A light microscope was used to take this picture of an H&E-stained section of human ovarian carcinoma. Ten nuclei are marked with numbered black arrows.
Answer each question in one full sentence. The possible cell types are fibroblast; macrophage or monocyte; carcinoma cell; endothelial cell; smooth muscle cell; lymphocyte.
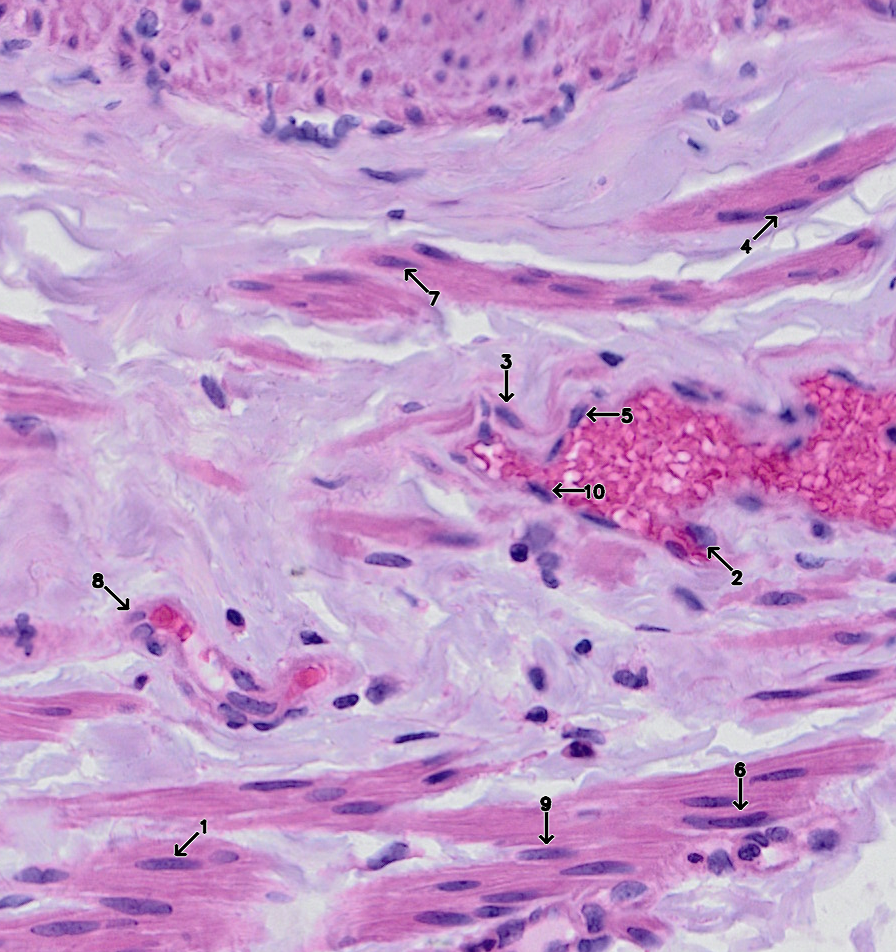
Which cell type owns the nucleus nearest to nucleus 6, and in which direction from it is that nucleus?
Just below and to the right of nucleus 6 lies the nearest nucleus, which belongs to an endothelial cell.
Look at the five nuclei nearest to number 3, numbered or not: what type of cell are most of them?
Around number 3, most of the five nearest nuclei are those of endothelial cells.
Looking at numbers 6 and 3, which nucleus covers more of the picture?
It is nucleus 6, which covers about 1.5 times the area of nucleus 3.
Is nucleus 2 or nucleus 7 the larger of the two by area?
Nucleus 2 covers more area, about 2 times as much as nucleus 7.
